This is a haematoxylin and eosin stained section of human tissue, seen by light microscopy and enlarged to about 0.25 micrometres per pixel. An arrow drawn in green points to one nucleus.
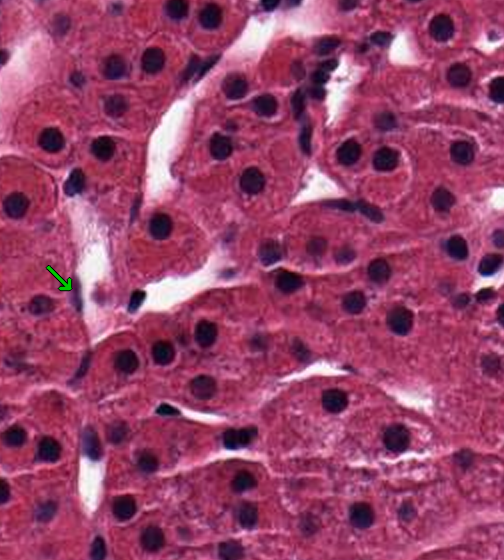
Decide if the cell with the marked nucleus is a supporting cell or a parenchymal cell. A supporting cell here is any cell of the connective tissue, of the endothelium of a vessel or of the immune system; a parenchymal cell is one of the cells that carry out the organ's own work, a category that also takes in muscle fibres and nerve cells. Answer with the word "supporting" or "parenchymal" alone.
supporting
